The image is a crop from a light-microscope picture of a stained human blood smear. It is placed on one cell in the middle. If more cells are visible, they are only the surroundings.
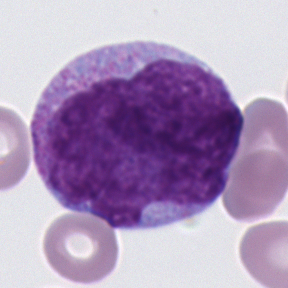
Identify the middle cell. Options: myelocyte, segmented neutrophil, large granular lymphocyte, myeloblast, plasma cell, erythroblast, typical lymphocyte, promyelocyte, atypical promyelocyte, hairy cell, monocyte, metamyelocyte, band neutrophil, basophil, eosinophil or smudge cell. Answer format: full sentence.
By classification, the middle cell of this crop is an atypical promyelocyte.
